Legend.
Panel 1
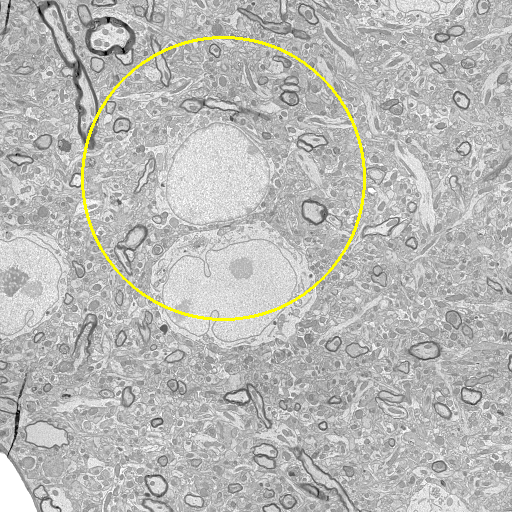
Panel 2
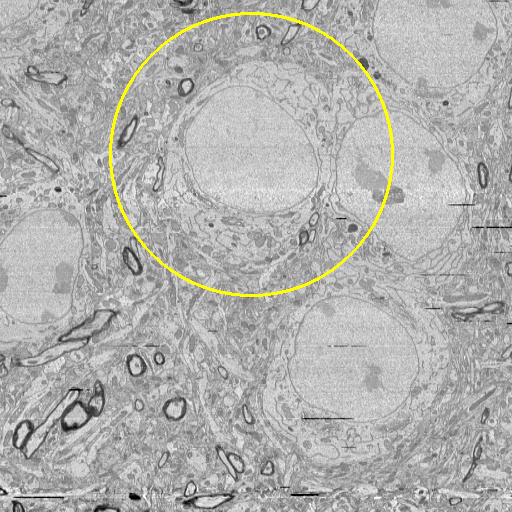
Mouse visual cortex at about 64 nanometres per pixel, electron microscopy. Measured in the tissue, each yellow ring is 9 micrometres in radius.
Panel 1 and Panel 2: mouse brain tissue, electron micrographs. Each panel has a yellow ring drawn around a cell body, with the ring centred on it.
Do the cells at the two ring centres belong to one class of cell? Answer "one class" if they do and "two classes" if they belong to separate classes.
two classes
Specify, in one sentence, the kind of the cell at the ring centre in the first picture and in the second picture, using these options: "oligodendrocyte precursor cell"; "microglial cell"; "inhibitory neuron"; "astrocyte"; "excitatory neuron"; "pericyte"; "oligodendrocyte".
So the first is an astrocyte, the second an excitatory neuron.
